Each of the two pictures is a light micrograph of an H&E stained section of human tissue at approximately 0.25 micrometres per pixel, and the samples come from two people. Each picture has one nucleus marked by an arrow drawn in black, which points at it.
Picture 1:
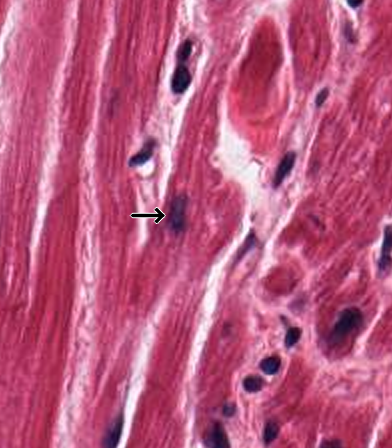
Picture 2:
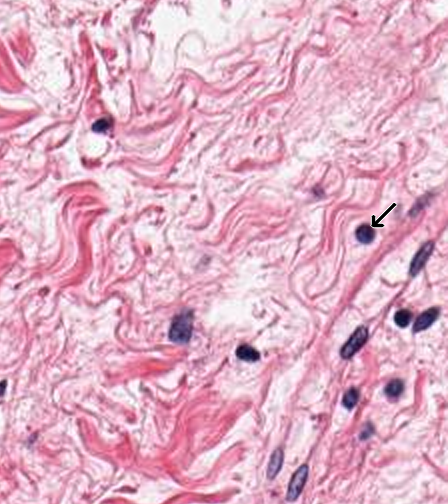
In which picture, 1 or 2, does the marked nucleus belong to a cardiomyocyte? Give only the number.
1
